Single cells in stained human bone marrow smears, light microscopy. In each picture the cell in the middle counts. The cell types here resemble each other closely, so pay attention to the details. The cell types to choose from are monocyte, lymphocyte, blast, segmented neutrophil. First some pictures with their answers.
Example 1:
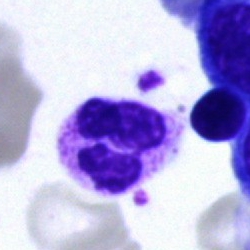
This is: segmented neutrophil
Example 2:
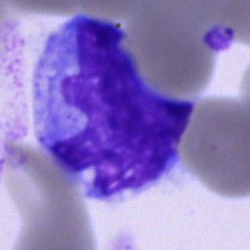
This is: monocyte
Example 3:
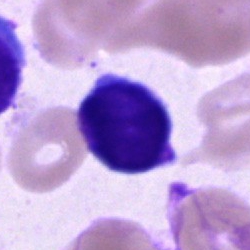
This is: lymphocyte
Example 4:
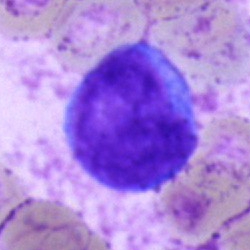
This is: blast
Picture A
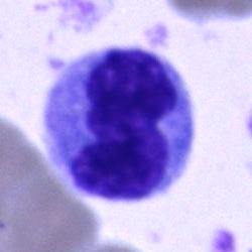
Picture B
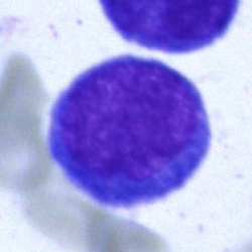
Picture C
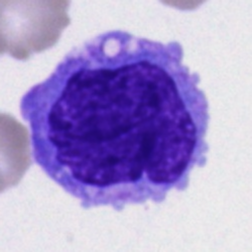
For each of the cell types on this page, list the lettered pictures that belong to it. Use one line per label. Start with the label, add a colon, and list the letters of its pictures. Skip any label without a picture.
monocyte: A, C
blast: B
